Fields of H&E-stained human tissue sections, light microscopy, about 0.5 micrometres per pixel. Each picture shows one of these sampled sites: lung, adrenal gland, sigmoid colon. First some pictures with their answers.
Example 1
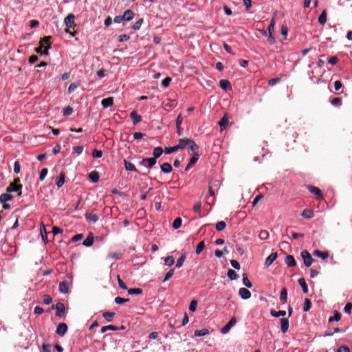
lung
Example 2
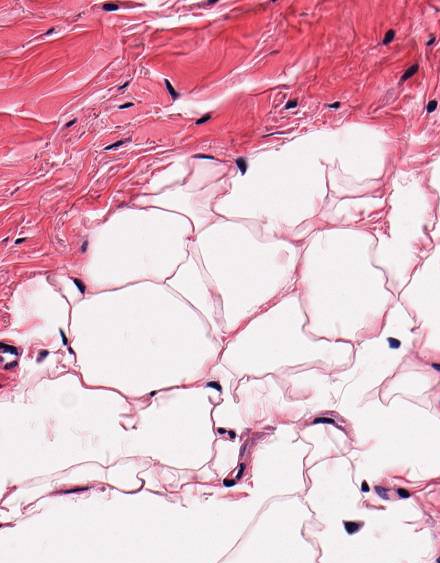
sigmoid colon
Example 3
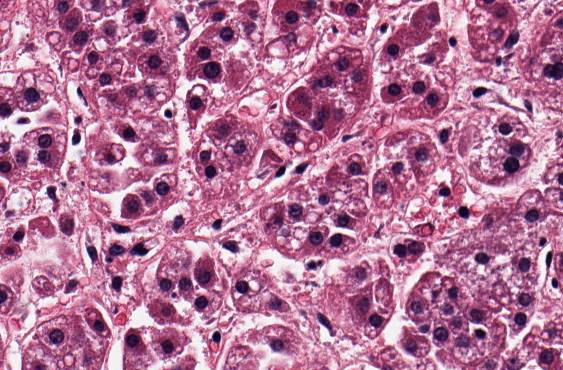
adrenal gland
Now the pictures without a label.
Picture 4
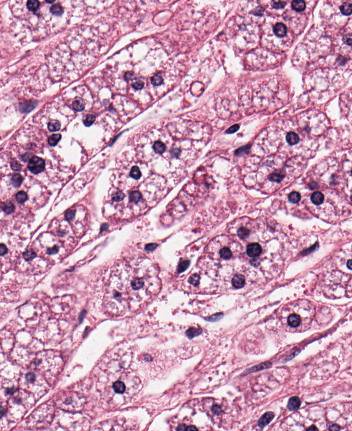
adrenal gland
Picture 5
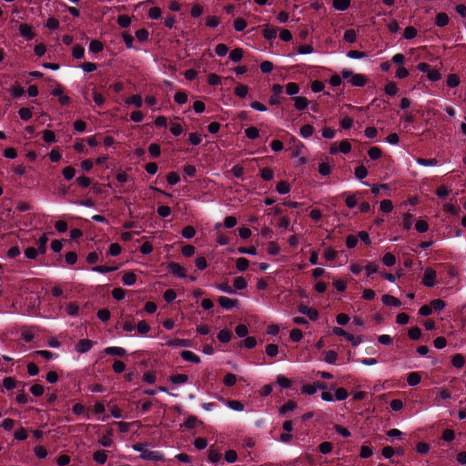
adrenal gland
